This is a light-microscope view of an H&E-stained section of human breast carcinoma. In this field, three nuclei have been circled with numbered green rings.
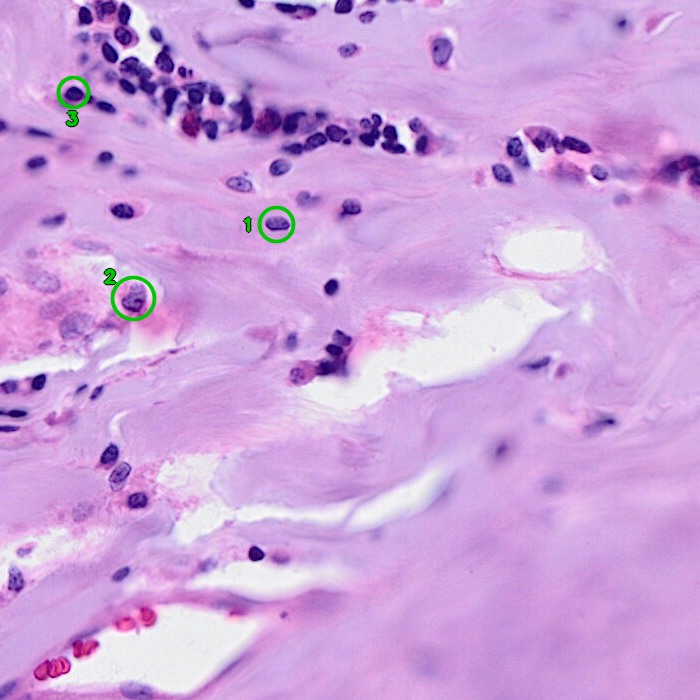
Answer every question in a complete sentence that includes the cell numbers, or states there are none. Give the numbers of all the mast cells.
Only one marked cell, number 2, is a mast cell.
